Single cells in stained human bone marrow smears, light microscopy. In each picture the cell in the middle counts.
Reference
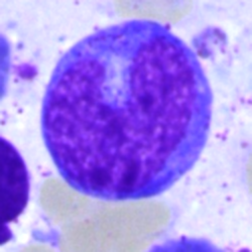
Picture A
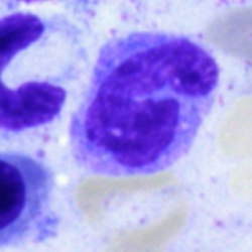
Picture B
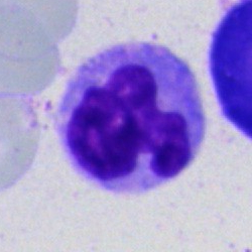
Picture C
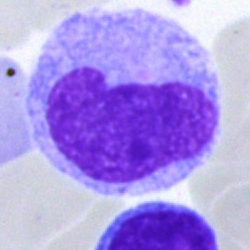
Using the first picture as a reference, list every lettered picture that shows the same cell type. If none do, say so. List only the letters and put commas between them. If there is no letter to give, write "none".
A, B, C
